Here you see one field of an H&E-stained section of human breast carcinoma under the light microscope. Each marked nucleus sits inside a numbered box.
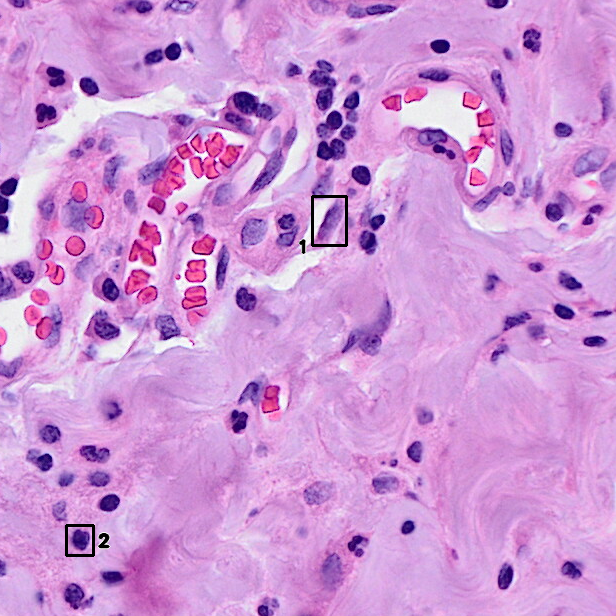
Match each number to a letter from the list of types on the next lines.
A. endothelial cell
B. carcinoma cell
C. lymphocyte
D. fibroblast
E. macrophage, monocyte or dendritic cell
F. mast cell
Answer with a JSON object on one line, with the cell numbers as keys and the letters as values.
{"1": "D", "2": "C"}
